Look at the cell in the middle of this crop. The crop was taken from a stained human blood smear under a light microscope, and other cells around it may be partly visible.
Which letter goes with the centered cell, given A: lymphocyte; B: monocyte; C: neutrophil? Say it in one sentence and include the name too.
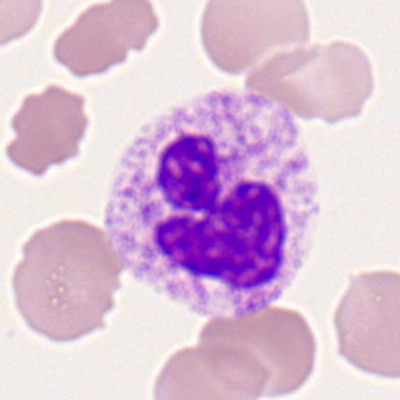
Option C is the right one, for the cell in the middle is a neutrophil.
